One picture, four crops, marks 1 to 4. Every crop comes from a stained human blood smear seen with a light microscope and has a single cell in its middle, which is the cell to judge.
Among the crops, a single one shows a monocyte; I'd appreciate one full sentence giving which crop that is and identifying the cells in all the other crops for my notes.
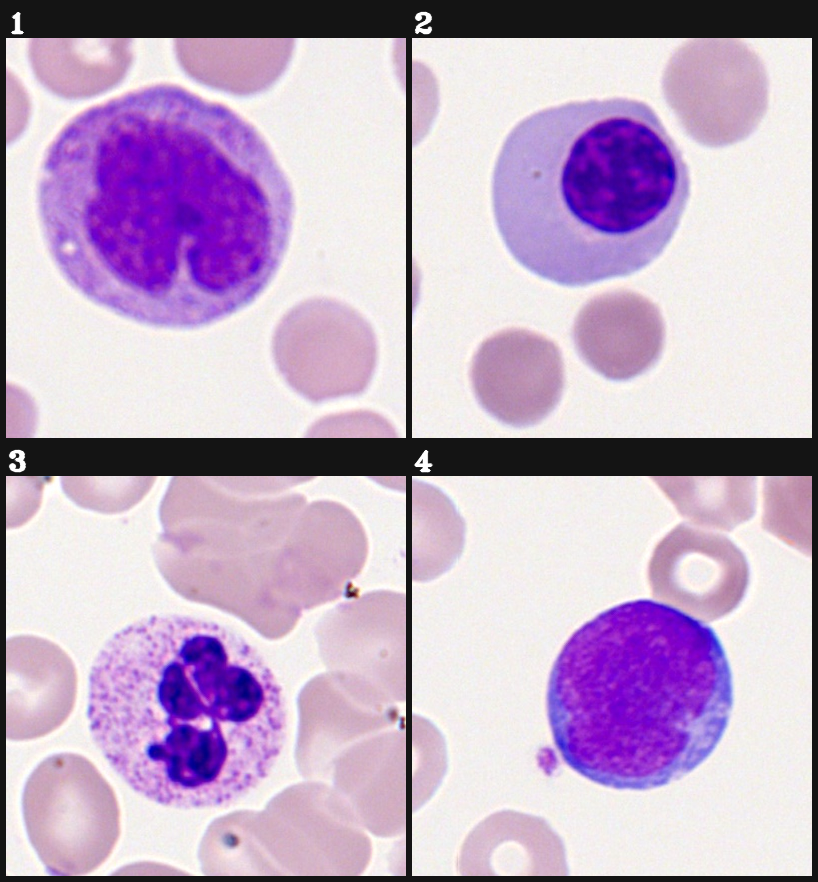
At the centre of crop 1 lies a monocyte, while crop 2 is a normoblast, crop 3 is a neutrophil and crop 4 is a myeloblast.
